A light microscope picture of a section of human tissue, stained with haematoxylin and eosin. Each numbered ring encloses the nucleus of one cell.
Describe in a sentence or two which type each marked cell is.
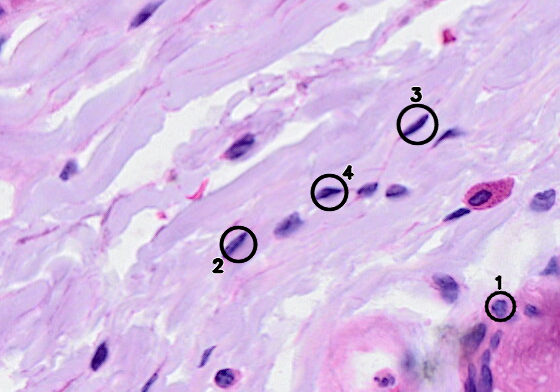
Cell 1 is a smooth muscle cell. Cells 2, 3 and 4 are fibroblasts.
